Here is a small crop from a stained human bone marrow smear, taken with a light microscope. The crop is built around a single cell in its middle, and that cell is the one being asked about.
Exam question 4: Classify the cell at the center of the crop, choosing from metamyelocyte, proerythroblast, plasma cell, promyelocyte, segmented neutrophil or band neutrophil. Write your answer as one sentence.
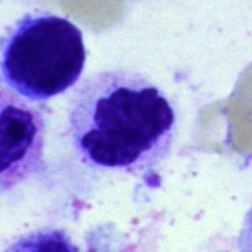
The cell featured at the centre of this crop is a segmented neutrophil.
